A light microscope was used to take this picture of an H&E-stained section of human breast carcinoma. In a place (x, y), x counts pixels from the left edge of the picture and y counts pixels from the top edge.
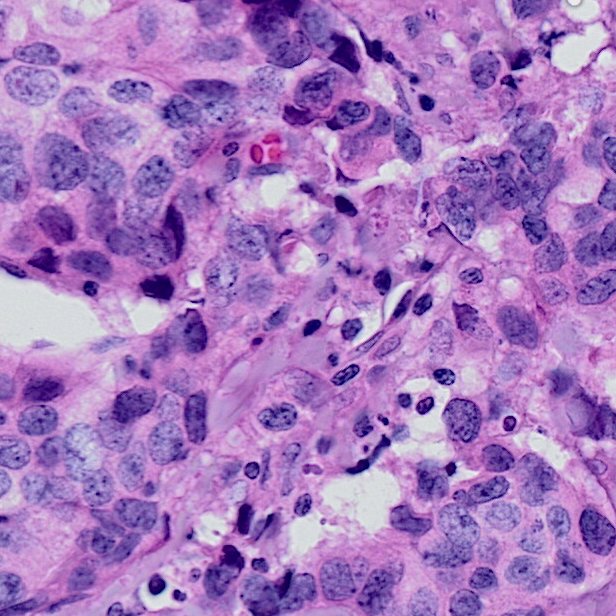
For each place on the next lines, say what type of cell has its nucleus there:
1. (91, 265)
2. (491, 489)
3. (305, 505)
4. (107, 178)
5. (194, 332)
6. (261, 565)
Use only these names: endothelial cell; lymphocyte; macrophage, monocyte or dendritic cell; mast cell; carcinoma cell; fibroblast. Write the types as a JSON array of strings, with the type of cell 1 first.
["carcinoma cell", "carcinoma cell", "lymphocyte", "carcinoma cell", "carcinoma cell", "lymphocyte"]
